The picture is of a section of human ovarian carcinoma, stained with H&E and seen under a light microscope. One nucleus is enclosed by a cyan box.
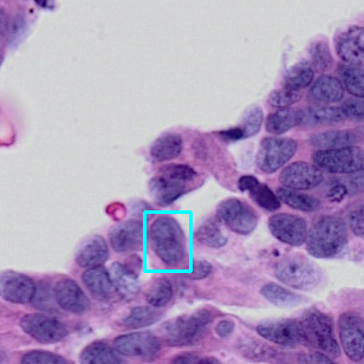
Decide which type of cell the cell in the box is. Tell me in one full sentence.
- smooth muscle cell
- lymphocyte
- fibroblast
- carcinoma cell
The identity of the cell in the box: it is a carcinoma cell.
